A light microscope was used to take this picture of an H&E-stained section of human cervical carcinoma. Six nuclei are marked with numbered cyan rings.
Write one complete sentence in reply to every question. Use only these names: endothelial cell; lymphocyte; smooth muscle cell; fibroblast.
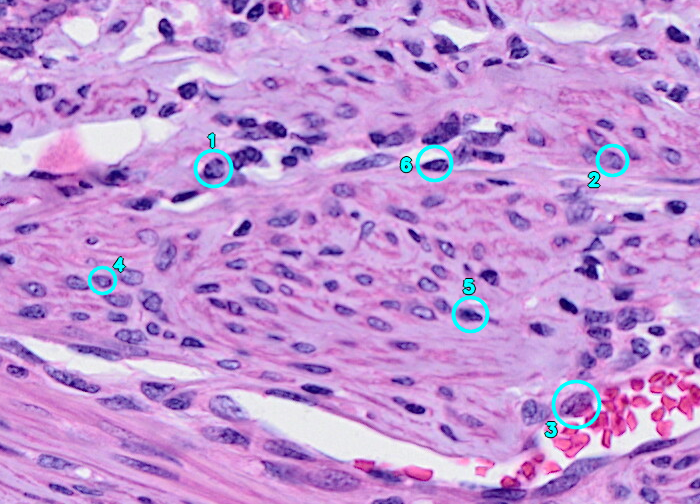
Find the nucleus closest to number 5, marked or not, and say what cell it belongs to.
Closest to number 5 lies the nucleus of a smooth muscle cell.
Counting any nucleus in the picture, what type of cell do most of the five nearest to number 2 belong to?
Of the five nuclei nearest to number 2, most belong to smooth muscle cells.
